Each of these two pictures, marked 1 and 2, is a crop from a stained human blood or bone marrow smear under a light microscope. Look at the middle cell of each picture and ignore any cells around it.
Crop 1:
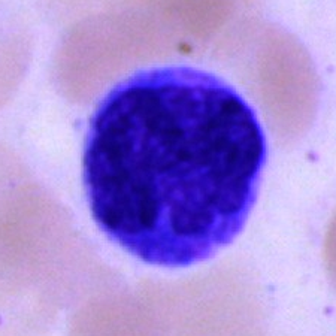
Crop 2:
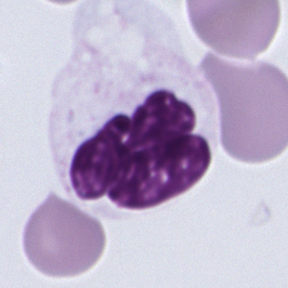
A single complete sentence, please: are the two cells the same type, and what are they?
No, crop 1 and crop 2 show a monocyte and a segmented neutrophil respectively.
